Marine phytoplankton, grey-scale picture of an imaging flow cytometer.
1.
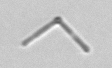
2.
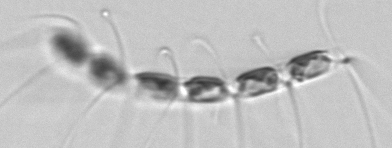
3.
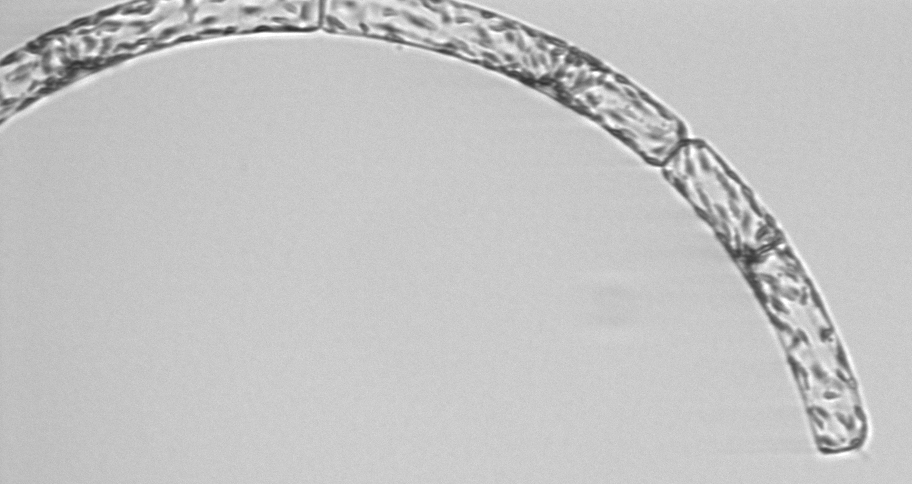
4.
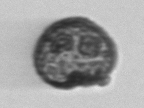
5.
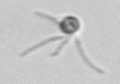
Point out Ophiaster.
That is picture 5.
